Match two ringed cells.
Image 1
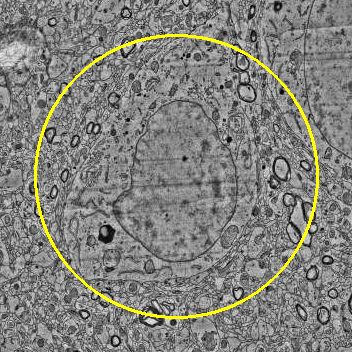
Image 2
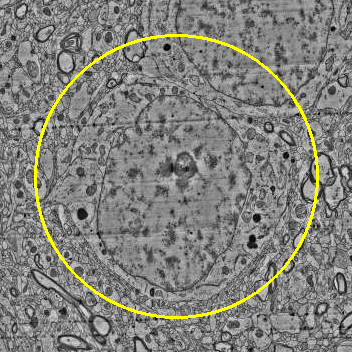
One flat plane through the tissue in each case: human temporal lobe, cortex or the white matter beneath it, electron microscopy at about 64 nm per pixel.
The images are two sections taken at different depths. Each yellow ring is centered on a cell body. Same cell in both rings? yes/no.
no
